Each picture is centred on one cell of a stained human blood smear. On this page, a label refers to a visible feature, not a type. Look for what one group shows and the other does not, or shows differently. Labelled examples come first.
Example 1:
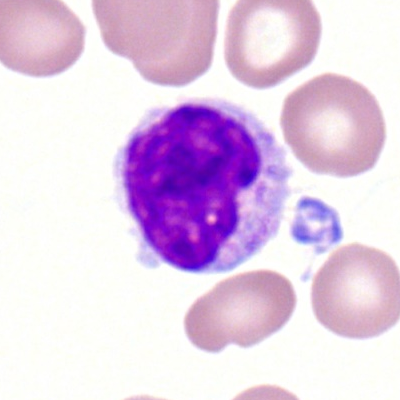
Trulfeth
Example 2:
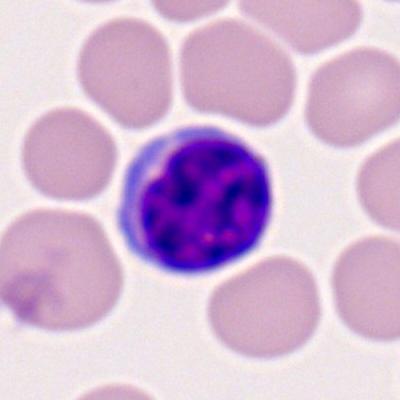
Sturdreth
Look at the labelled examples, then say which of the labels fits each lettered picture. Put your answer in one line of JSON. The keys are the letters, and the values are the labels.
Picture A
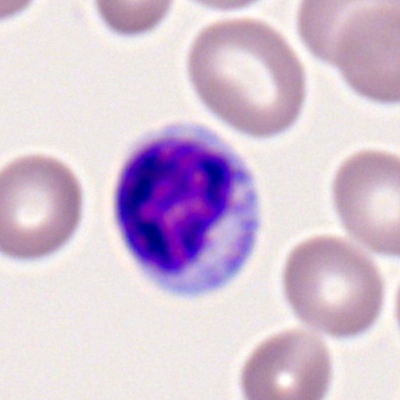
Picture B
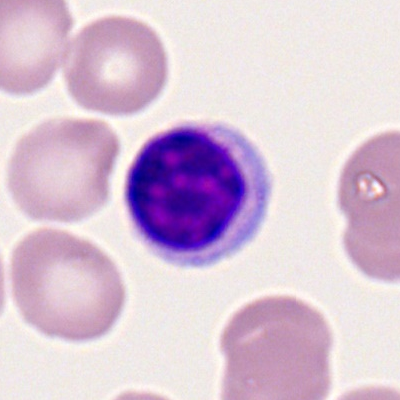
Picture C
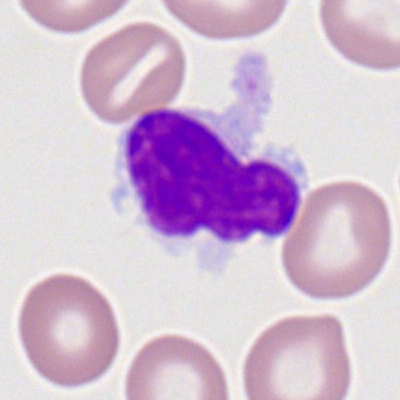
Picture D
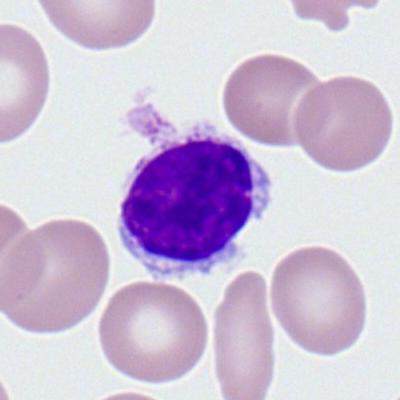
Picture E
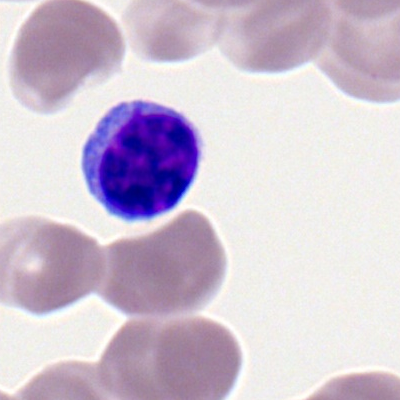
{"A": "Sturdreth", "B": "Sturdreth", "C": "Trulfeth", "D": "Trulfeth", "E": "Sturdreth"}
